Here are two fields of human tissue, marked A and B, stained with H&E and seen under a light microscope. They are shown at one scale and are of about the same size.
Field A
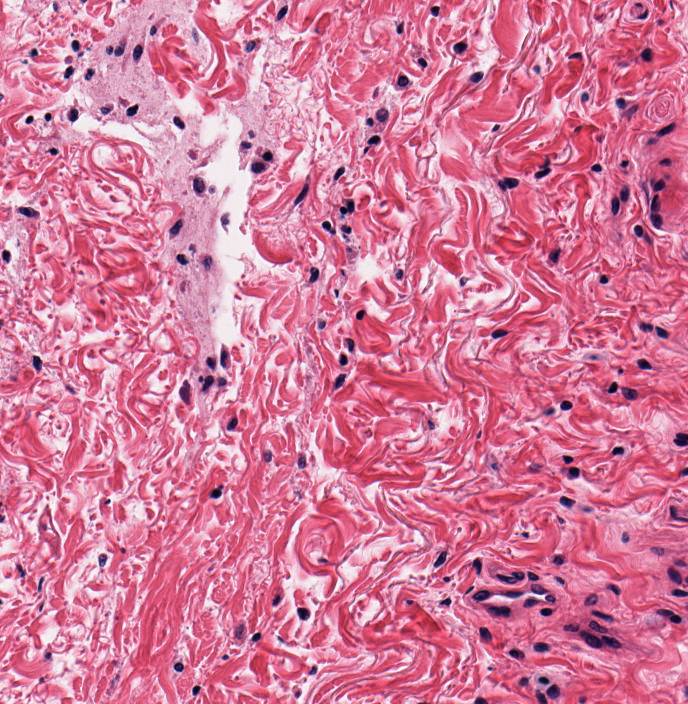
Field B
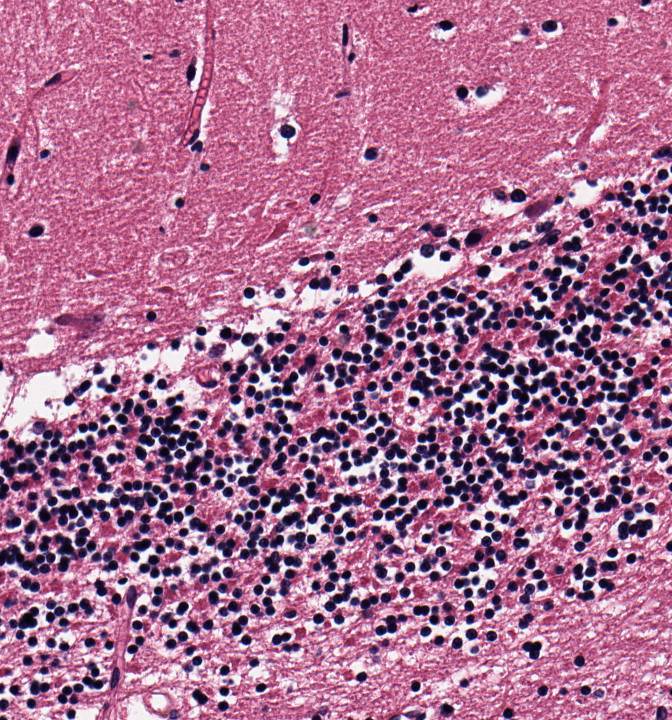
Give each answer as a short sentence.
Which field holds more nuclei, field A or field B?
There are more nuclei in field B.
